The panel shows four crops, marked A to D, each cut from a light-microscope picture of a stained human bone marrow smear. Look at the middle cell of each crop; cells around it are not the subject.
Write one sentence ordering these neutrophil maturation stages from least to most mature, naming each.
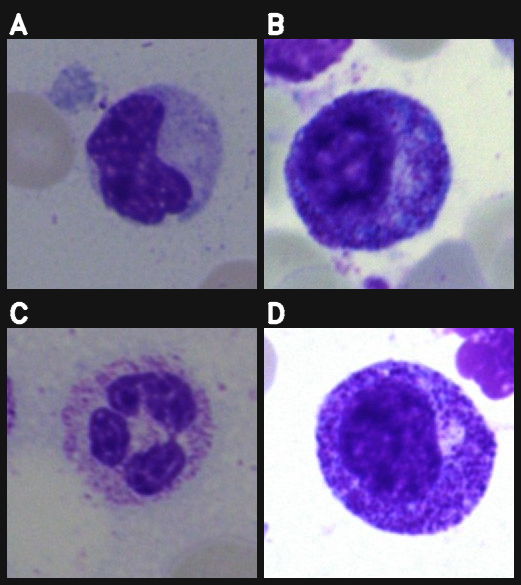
The maturity sequence, least mature to most mature, is crop B (a promyelocyte), crop D (a myelocyte), crop A (a band neutrophil) and crop C (a segmented neutrophil).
